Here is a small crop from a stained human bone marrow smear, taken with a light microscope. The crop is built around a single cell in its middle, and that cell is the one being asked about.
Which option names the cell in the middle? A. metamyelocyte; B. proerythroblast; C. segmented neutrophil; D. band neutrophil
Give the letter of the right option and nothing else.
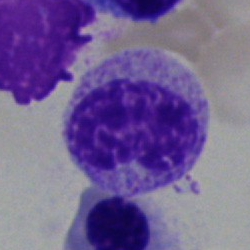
A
